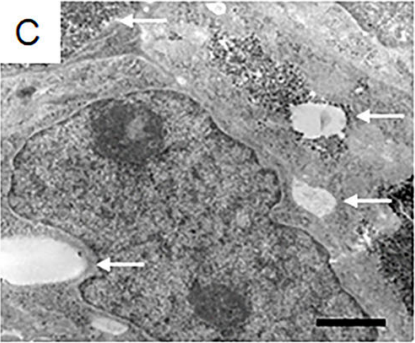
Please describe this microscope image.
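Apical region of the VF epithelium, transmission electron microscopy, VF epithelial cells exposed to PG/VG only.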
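A large oval nucleus fills much of the field, with finely dispersed chromatin and dark, rounded nucleoli, bounded by a distinct nuclear envelope. In the surrounding cytoplasm lie several smooth, rounded, pale electron-lucent inclusions, one pressed against the edge of the nucleus and others further out in the cytoplasm. Toward the top of the field there are patches of fine dark granular material. Thin dark membrane lines mark the borders between neighbouring cells.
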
